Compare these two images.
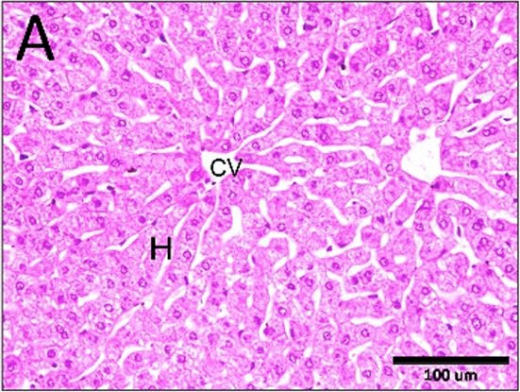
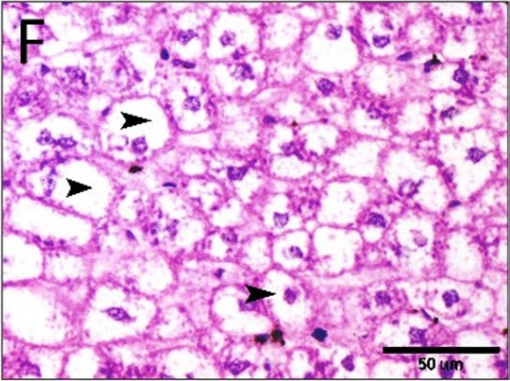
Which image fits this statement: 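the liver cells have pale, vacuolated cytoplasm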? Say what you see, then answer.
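Second image: hepatocytes are swollen with clear, empty-looking cytoplasm. First image: hepatocytes have evenly pink granular cytoplasm in orderly cords. The answer: the second image.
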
